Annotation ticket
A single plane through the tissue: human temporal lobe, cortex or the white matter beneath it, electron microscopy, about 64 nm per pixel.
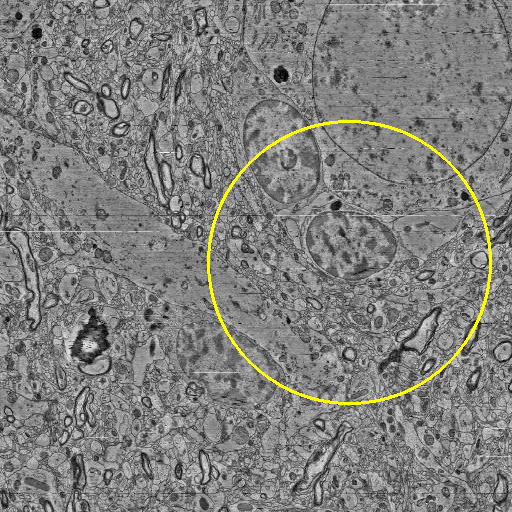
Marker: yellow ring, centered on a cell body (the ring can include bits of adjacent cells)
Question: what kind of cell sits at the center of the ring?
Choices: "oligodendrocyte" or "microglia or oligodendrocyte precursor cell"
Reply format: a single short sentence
The ring is centered on a microglial cell or oligodendrocyte precursor cell.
